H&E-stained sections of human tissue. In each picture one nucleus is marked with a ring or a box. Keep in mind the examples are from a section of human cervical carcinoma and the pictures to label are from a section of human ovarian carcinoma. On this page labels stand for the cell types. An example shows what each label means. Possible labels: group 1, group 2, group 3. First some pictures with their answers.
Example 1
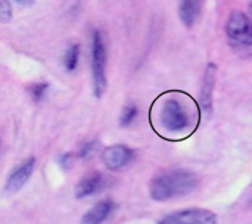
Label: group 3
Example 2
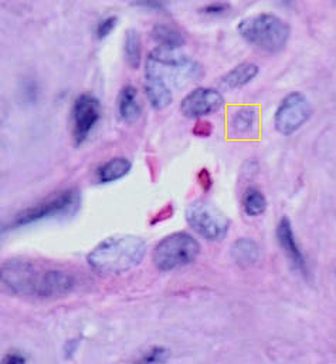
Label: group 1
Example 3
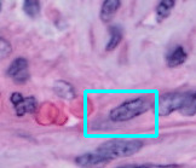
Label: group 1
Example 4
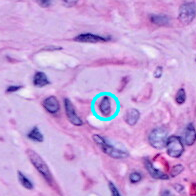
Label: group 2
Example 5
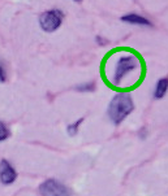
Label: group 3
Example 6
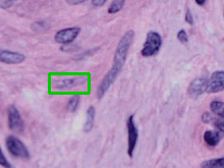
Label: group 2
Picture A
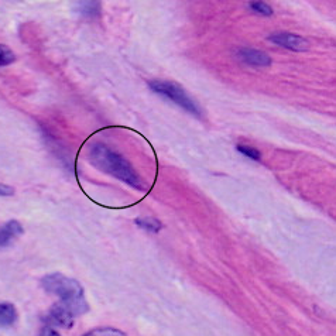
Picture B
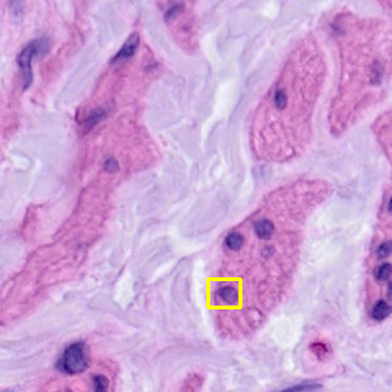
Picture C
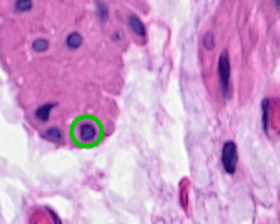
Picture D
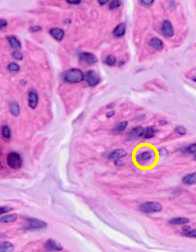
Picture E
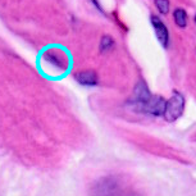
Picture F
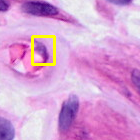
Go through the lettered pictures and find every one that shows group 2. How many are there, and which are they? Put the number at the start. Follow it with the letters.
5, namely A, B, C, D, E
